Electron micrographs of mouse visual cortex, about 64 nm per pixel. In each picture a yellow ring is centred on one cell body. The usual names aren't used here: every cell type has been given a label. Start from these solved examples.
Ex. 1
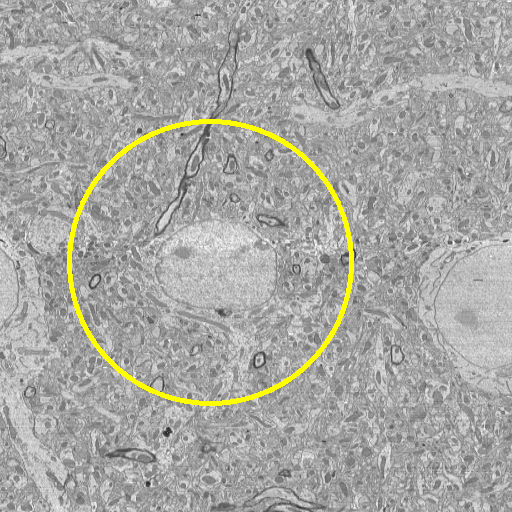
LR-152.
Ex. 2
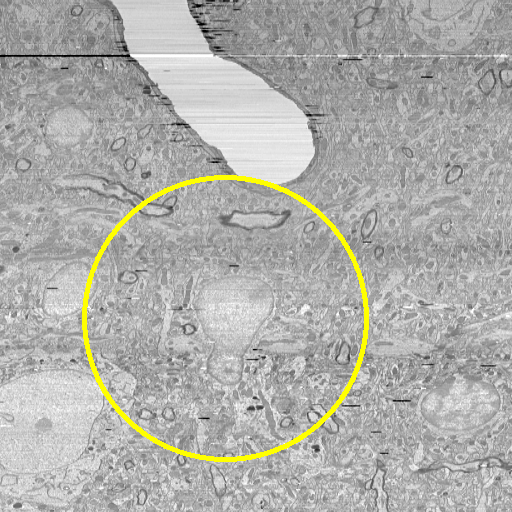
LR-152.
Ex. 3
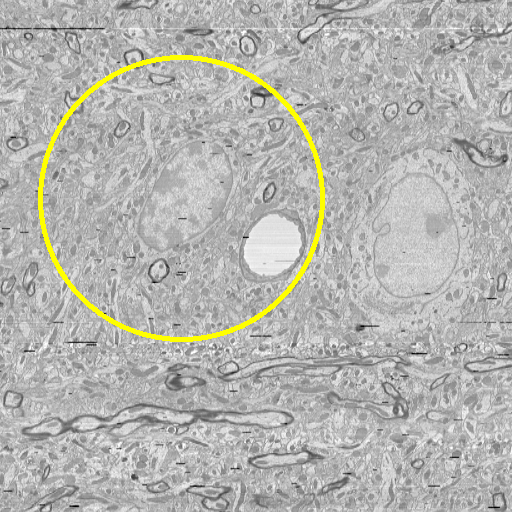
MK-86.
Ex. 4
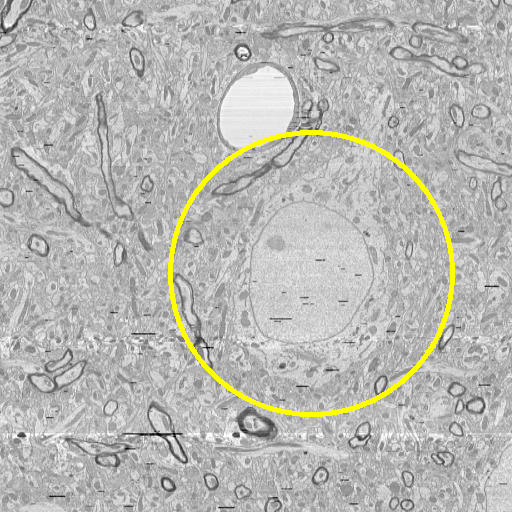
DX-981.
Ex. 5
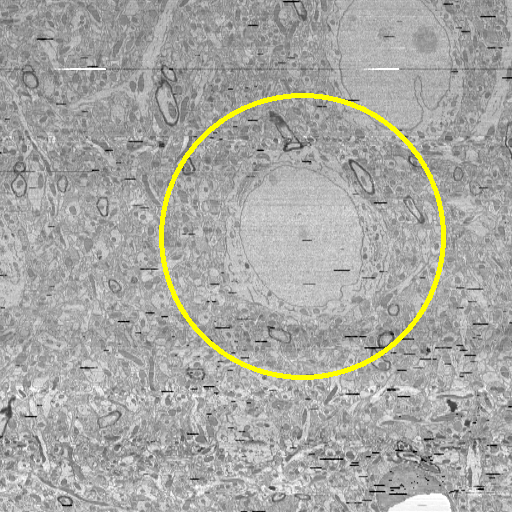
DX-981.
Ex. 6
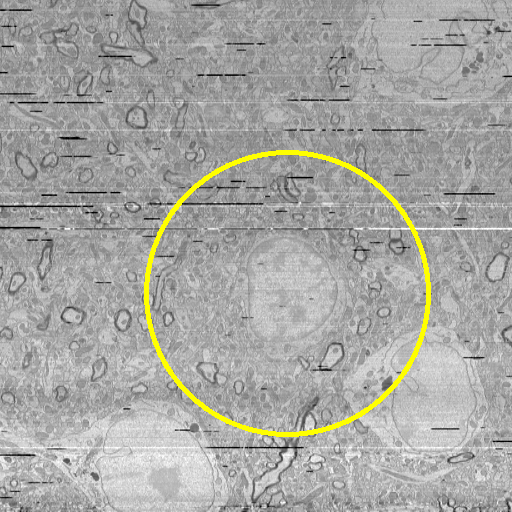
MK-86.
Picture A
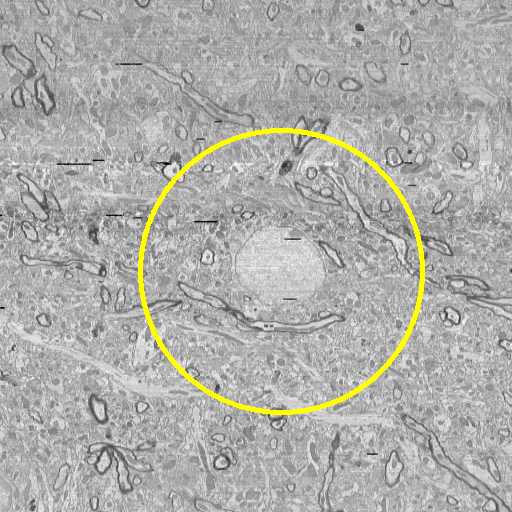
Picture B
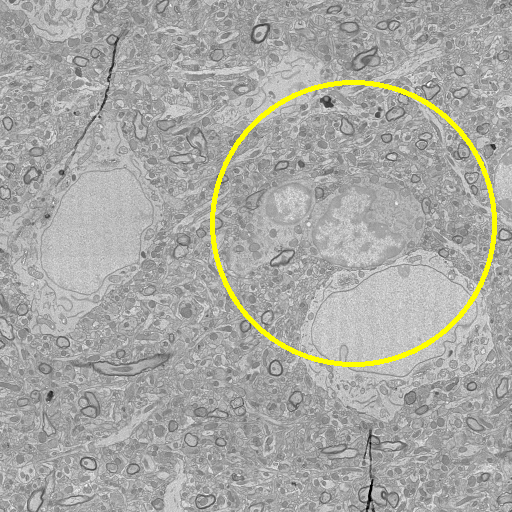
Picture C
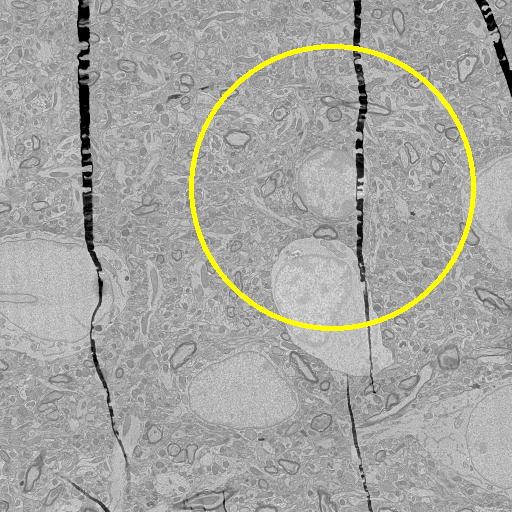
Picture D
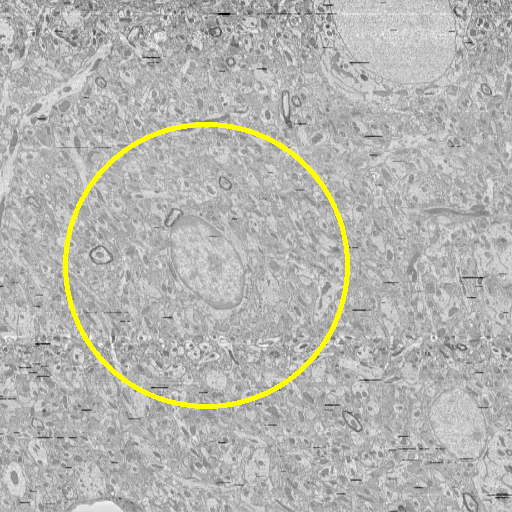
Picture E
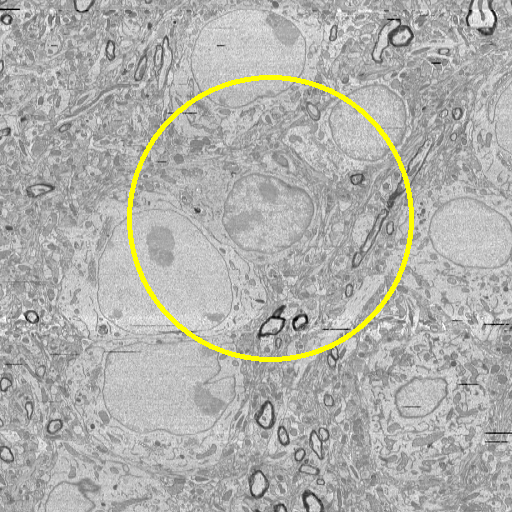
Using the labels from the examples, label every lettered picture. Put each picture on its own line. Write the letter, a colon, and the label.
A: LR-152.
B: MK-86.
C: MK-86.
D: MK-86.
E: MK-86.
